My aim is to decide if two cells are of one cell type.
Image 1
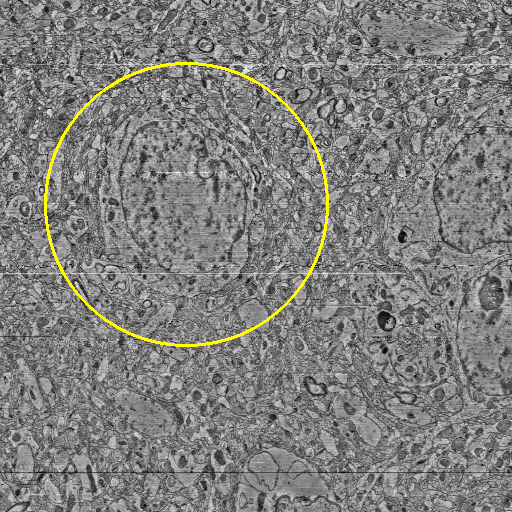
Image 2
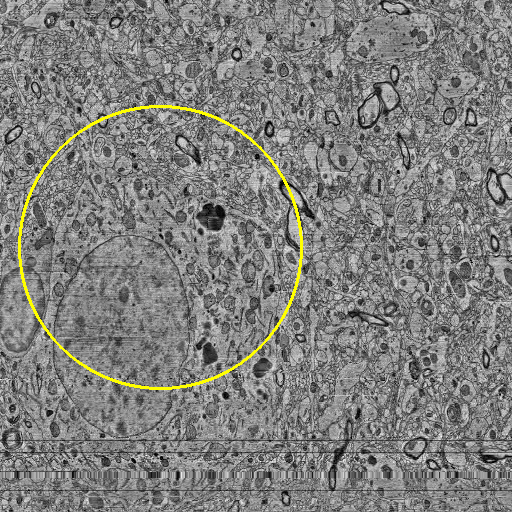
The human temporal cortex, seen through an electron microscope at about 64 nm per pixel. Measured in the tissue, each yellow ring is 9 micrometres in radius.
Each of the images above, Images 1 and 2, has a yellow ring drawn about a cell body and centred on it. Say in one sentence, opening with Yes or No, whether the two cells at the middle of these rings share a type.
Yes, in Images 1 and 2 the cells at the middle of the rings share one type.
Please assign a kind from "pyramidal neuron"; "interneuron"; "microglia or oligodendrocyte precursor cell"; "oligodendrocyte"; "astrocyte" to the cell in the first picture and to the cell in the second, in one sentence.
The ring centre holds an interneuron in each of the two pictures.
